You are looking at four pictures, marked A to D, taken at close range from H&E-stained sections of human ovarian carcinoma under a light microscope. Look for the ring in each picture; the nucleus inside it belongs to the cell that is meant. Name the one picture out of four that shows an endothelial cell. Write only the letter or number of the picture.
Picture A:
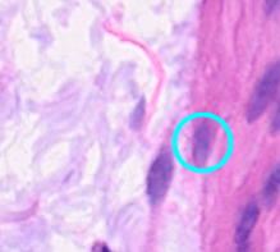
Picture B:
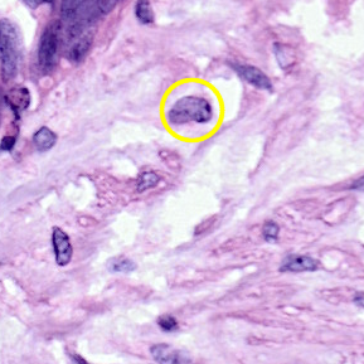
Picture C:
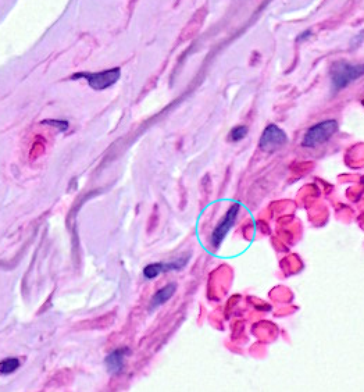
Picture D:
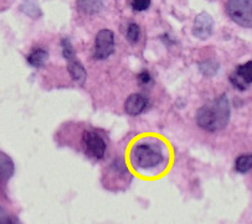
C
